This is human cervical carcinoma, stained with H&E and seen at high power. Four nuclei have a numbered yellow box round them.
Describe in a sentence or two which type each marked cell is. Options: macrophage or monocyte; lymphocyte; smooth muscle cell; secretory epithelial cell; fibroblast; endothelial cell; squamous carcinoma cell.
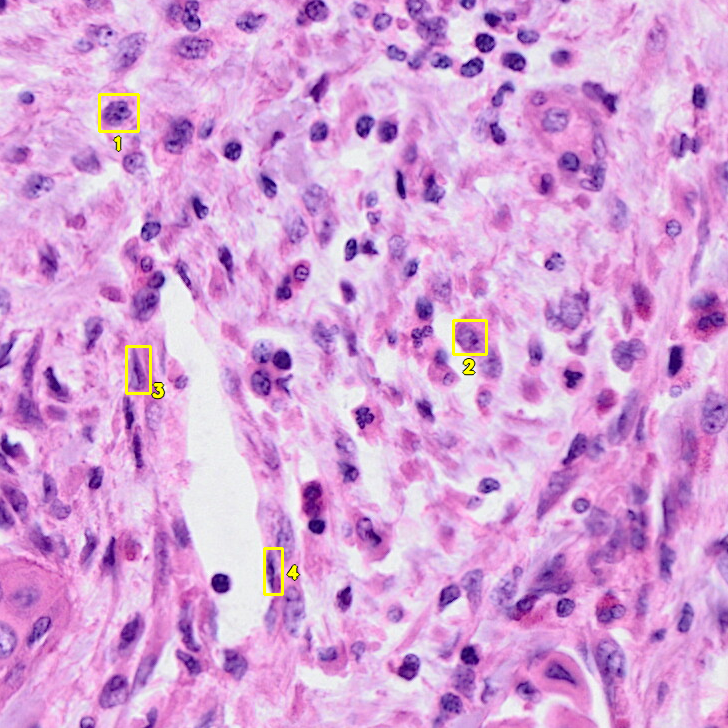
Cells 1 and 2 are macrophages or monocytes. Cell 3 is a fibroblast. Cell 4 is an endothelial cell.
